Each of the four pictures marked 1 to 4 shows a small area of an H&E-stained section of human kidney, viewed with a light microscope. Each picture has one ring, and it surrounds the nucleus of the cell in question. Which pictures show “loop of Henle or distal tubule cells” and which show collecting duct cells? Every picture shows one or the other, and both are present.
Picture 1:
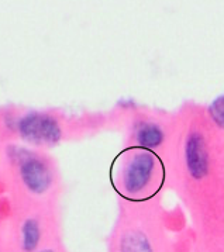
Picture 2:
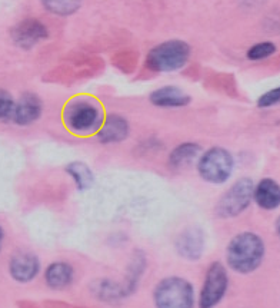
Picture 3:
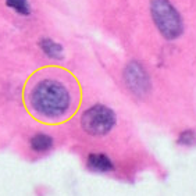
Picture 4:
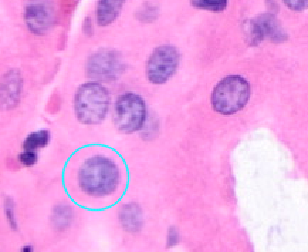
1: collecting duct cell
2: collecting duct cell
3: loop of Henle or distal tubule cell
4: loop of Henle or distal tubule cell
